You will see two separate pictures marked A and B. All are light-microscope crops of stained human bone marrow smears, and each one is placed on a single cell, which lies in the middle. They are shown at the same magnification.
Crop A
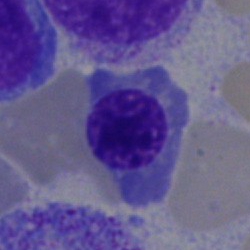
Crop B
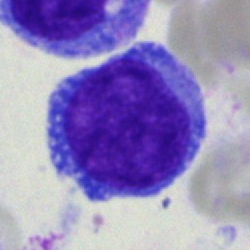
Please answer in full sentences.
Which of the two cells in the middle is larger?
Larger is the cell in crop B, at roughly 2 times the area of the other.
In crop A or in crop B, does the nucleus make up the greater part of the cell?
It is the cell in crop B that is filled more by its nucleus.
